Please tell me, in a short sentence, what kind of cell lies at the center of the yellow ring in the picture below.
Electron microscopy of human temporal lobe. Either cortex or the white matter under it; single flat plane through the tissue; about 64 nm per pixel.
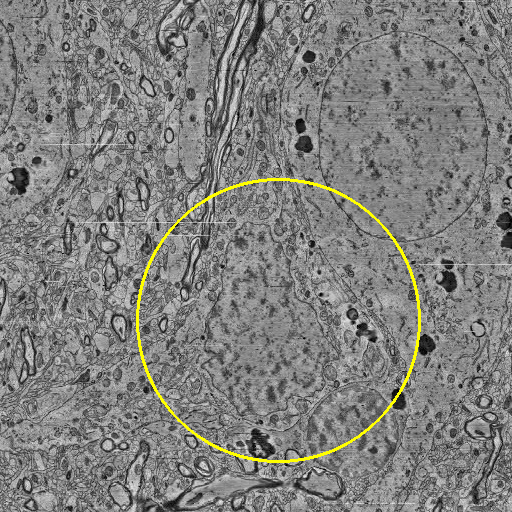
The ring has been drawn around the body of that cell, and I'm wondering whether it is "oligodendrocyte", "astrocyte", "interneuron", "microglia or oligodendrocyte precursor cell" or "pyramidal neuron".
The cell at the center of the ring is an interneuron.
